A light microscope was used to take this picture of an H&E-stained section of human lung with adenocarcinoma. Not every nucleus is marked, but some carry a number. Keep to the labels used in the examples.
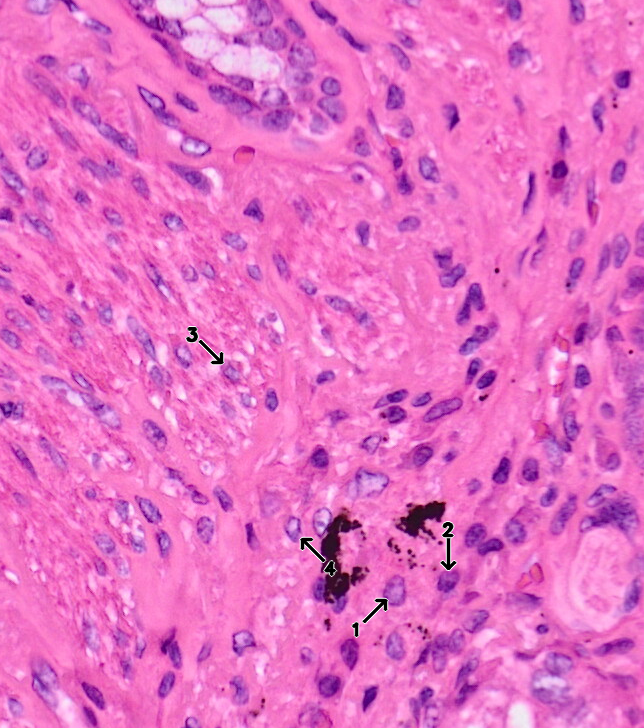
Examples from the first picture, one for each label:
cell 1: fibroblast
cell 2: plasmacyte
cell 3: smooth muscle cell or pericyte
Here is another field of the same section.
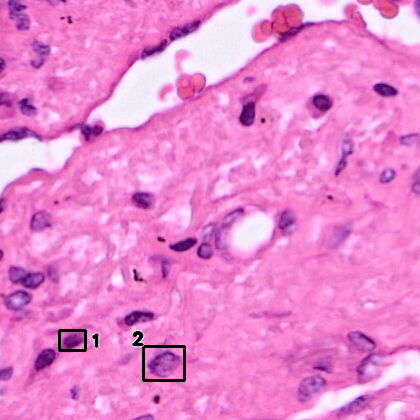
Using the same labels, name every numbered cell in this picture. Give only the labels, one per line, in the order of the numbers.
plasmacyte
fibroblast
